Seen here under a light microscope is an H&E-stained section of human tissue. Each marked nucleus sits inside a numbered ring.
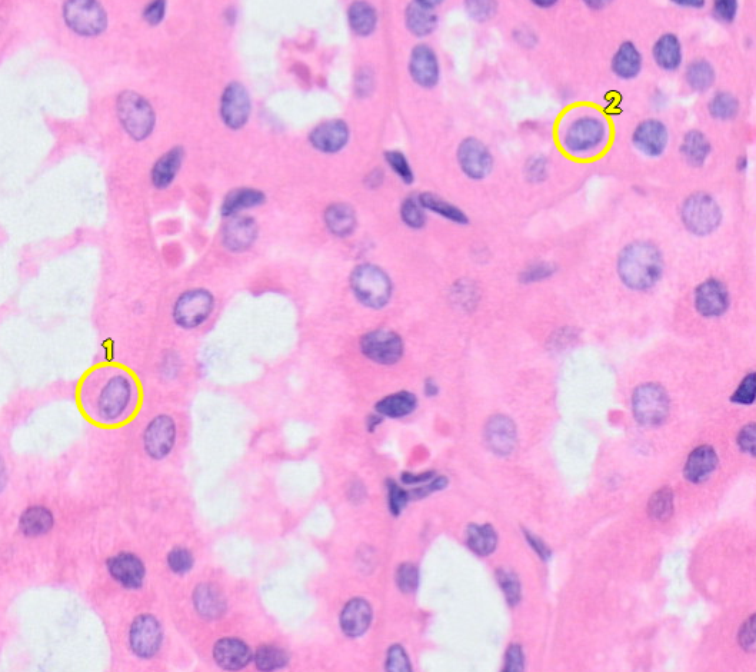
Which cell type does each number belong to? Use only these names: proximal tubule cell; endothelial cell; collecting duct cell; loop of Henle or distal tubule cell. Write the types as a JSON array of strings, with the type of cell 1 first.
["proximal tubule cell", "loop of Henle or distal tubule cell"]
